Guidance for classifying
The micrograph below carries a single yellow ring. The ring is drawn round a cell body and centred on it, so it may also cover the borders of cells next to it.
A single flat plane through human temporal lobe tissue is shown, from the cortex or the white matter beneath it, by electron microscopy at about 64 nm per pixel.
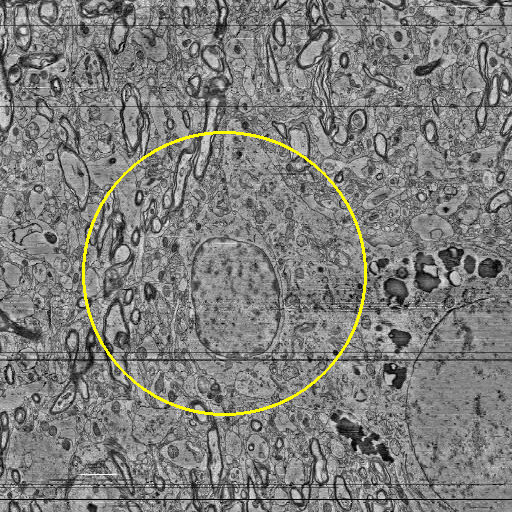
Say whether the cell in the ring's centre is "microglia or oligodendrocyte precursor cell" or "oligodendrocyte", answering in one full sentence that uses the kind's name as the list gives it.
Within the yellow ring, a microglial cell or oligodendrocyte precursor cell is the cell whose body sits at the centre.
